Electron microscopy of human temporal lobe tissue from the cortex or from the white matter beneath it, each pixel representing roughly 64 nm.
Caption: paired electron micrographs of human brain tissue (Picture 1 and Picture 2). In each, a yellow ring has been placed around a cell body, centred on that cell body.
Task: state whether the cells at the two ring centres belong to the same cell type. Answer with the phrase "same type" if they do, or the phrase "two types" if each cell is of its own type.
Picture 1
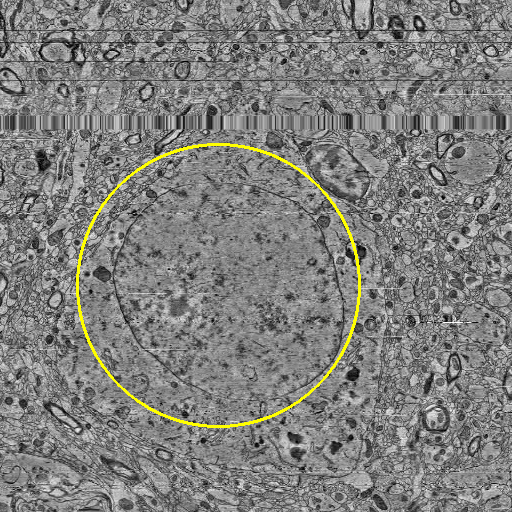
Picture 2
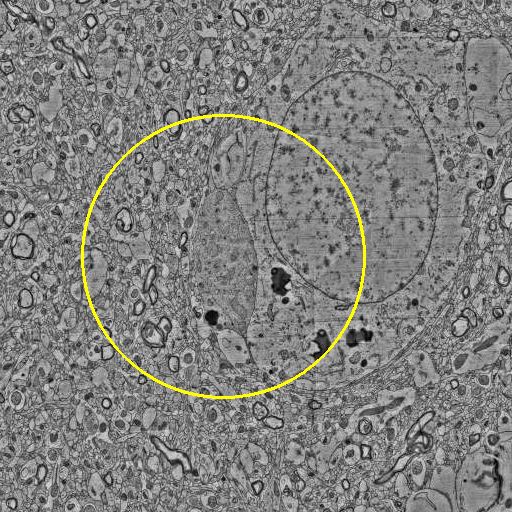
two types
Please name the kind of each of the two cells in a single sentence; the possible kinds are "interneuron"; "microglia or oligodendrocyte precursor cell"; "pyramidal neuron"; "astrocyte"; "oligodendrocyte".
In the first picture the ring is centred on a pyramidal neuron, and in the second on an oligodendrocyte.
